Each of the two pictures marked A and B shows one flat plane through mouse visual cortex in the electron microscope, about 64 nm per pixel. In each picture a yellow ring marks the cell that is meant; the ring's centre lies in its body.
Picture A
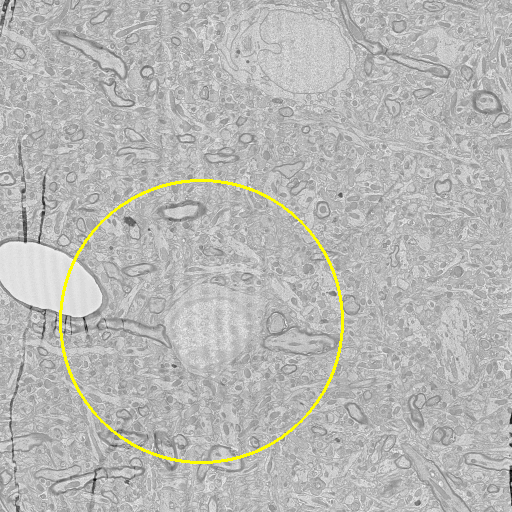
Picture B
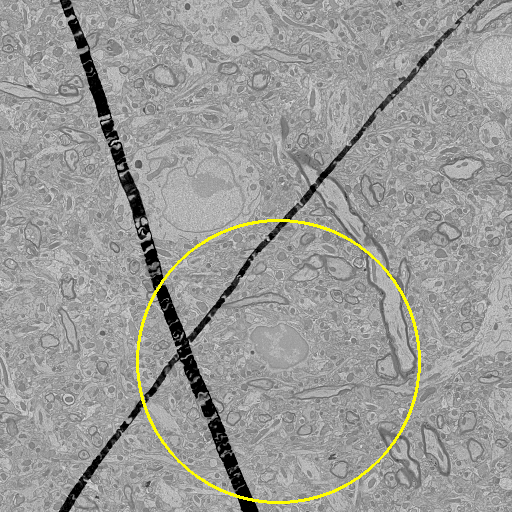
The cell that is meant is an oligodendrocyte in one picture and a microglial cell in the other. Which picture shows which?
In picture A the cell is an oligodendrocyte; in picture B, a microglial cell.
